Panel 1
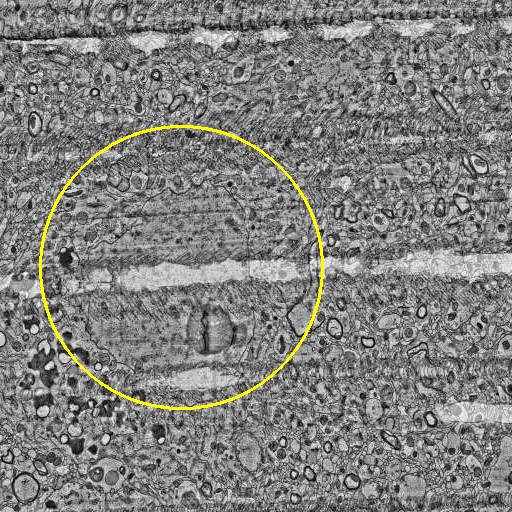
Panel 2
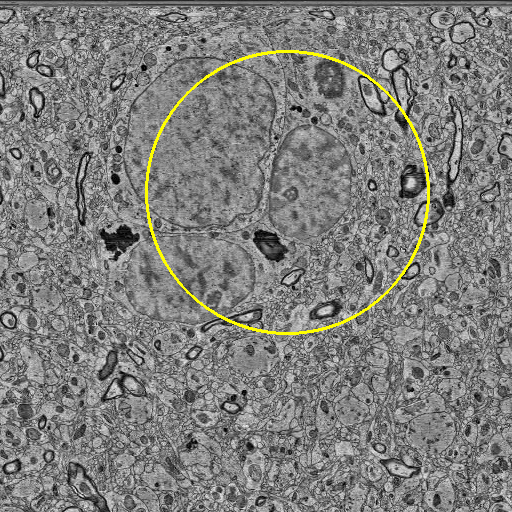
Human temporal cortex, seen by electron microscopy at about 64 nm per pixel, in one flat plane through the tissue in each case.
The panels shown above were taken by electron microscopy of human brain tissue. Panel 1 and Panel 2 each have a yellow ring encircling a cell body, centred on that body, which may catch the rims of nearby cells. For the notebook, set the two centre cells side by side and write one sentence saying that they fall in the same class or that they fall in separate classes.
The centred cells of Panel 1 and Panel 2 fall in separate classes.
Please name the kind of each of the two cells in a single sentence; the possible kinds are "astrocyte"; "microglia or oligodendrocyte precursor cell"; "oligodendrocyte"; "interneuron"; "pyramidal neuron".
In the first picture the ring is centred on a pyramidal neuron, and in the second on an oligodendrocyte.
